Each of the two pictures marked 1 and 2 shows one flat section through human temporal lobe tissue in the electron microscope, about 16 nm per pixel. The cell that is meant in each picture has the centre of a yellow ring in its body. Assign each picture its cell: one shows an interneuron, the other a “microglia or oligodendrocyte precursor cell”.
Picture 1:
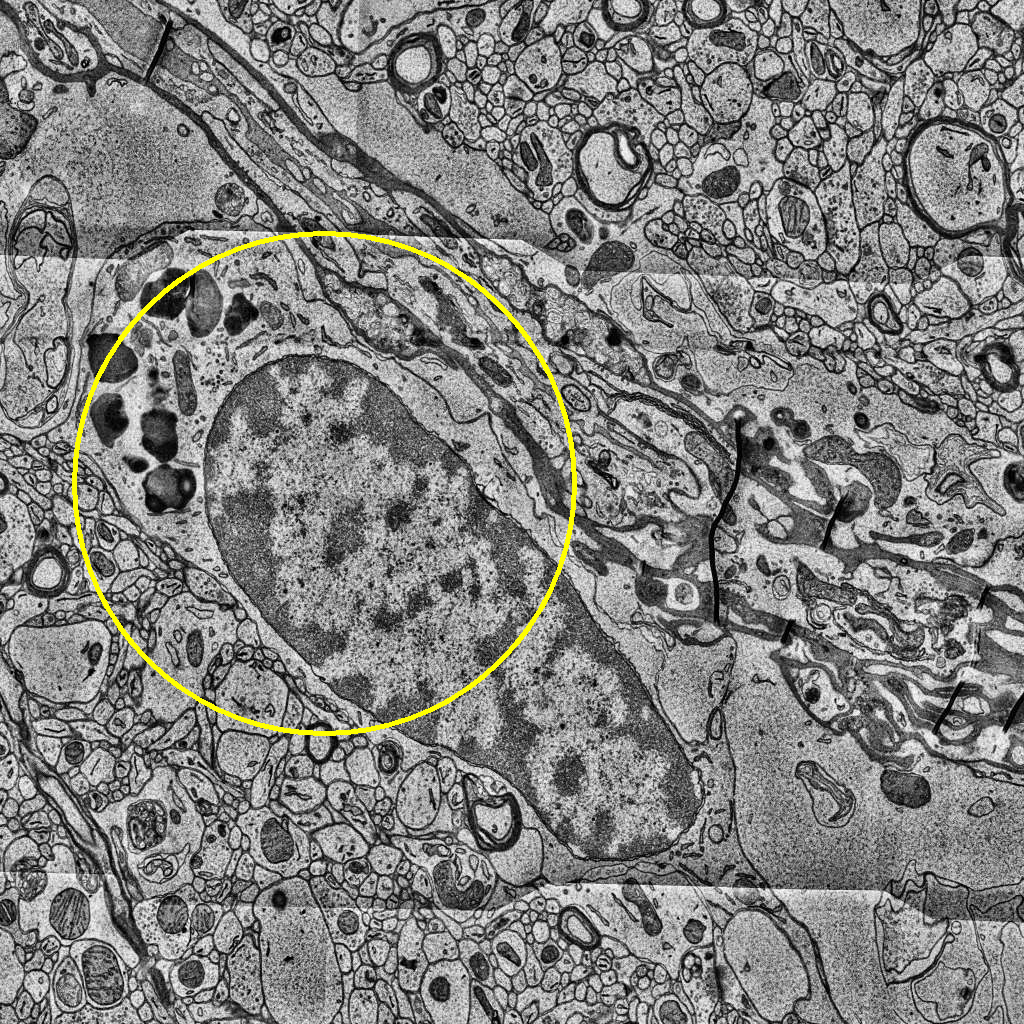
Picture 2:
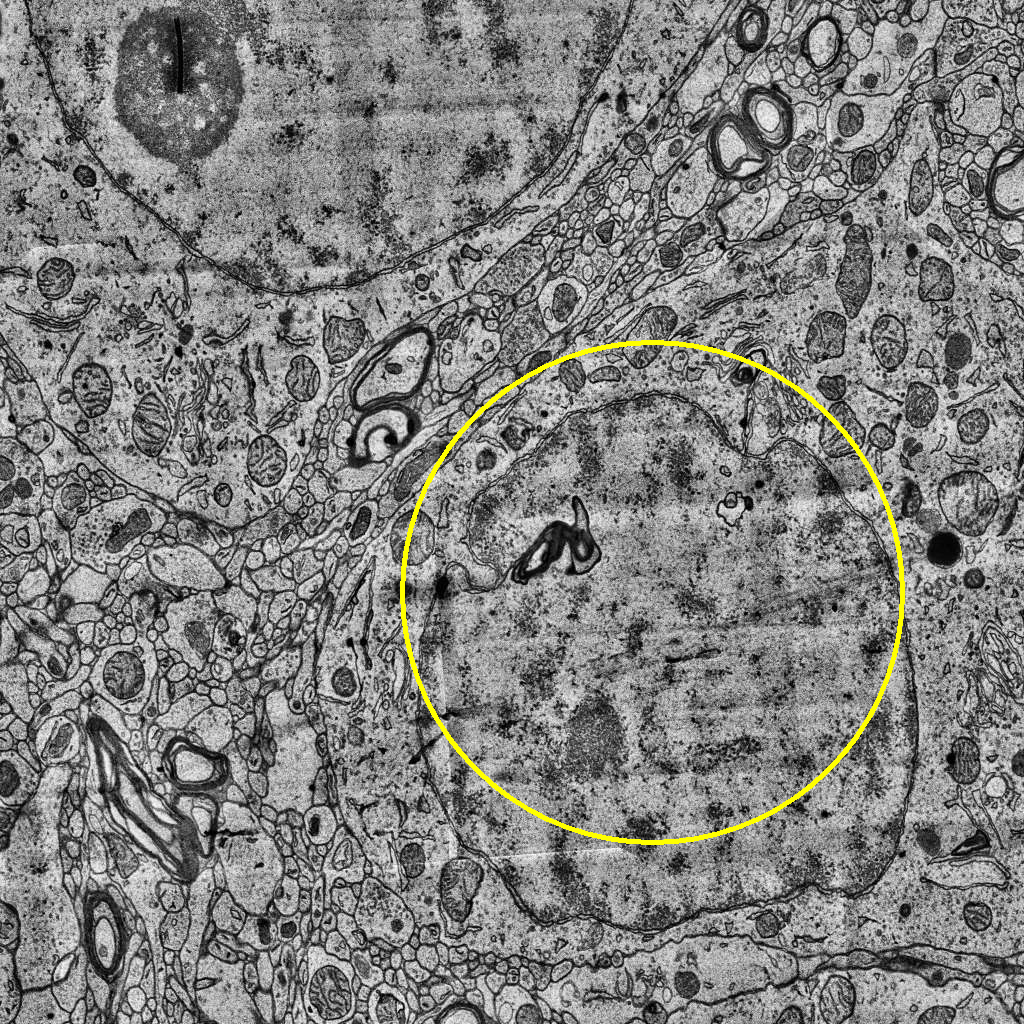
Picture 1 shows a “microglia or oligodendrocyte precursor cell” and picture 2 shows an interneuron.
